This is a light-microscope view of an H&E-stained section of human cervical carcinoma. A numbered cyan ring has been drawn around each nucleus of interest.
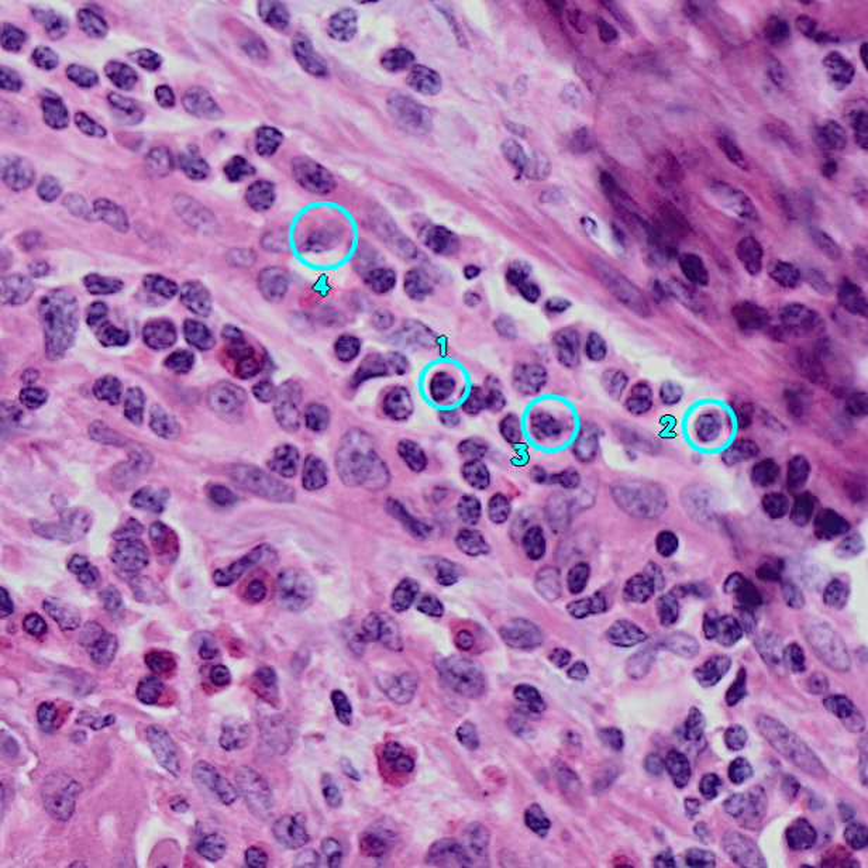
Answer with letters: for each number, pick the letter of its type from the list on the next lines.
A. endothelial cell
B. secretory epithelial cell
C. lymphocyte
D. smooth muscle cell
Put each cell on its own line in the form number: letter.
1: C
2: C
3: C
4: A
